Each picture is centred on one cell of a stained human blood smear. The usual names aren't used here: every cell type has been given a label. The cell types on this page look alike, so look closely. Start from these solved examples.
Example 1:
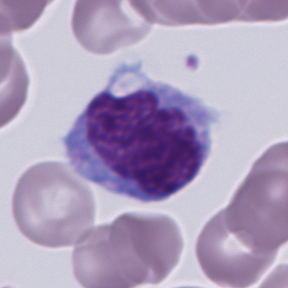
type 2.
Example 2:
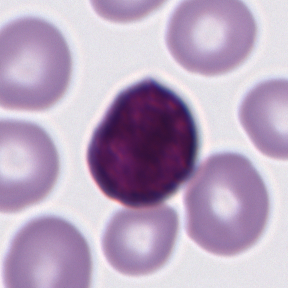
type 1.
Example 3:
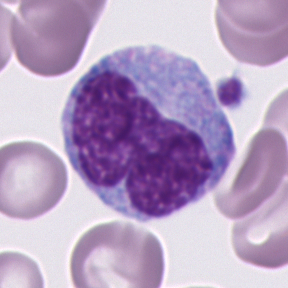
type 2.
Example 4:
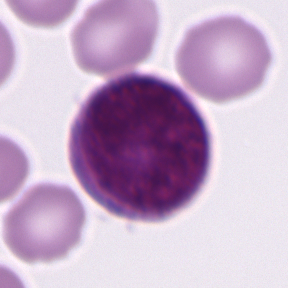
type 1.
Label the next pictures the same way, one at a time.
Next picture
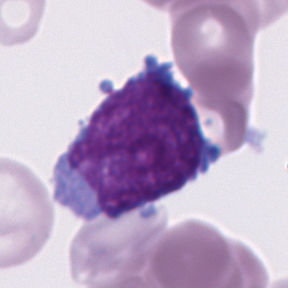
type 1.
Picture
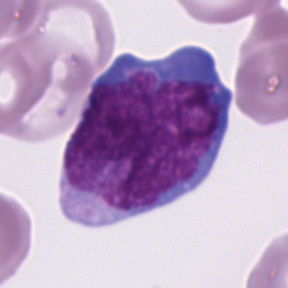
type 1.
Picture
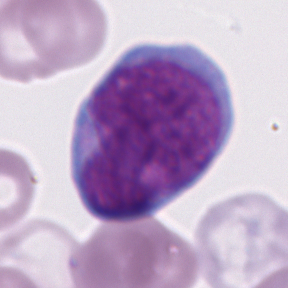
type 1.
